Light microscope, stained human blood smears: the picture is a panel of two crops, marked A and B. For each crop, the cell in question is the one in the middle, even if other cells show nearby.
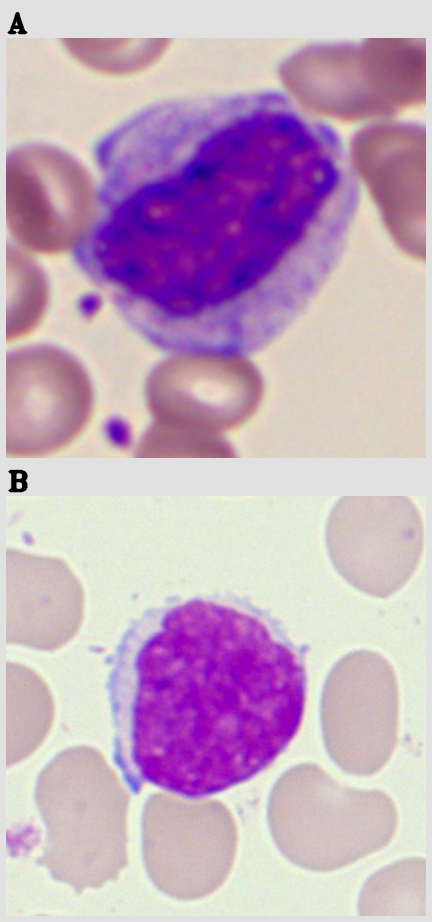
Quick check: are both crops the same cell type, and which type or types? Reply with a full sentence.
No, the cell centred in crop B is a lymphocyte; crop A centres on a monocyte.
